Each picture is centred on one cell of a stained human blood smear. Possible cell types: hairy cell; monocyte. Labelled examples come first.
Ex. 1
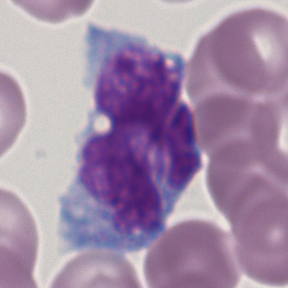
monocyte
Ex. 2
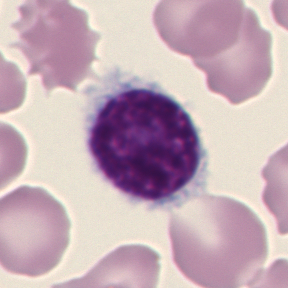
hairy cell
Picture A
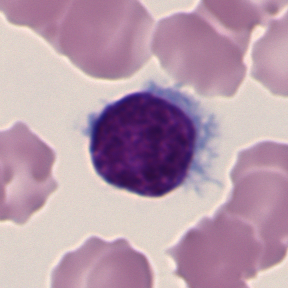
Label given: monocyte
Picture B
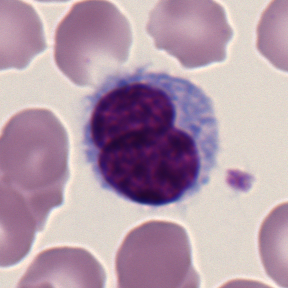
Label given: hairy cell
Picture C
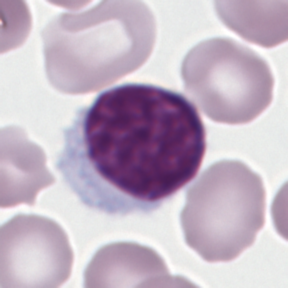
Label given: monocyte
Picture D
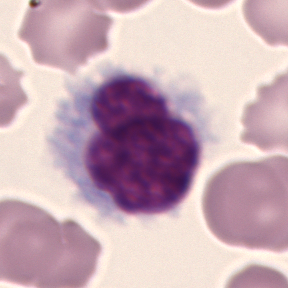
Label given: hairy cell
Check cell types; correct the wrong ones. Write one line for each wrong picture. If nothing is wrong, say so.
Wrong: A (monocyte); correct: hairy cell
Wrong: C (monocyte); correct: hairy cell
